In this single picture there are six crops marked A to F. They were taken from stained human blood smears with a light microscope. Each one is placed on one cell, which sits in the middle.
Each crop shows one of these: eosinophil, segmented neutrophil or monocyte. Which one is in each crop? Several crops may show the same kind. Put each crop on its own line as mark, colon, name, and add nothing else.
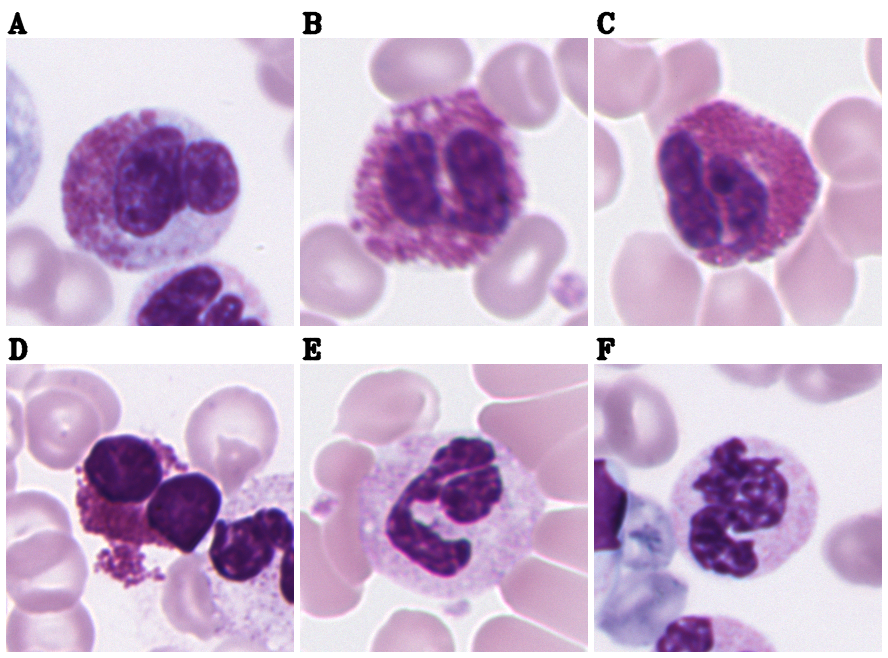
A: eosinophil
B: eosinophil
C: eosinophil
D: eosinophil
E: segmented neutrophil
F: segmented neutrophil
